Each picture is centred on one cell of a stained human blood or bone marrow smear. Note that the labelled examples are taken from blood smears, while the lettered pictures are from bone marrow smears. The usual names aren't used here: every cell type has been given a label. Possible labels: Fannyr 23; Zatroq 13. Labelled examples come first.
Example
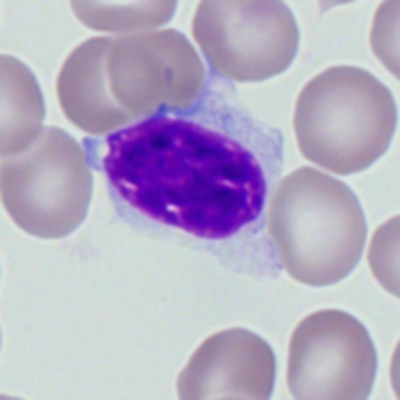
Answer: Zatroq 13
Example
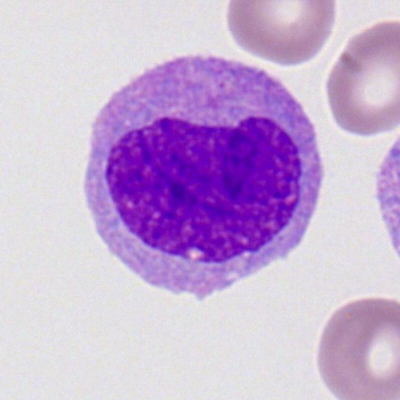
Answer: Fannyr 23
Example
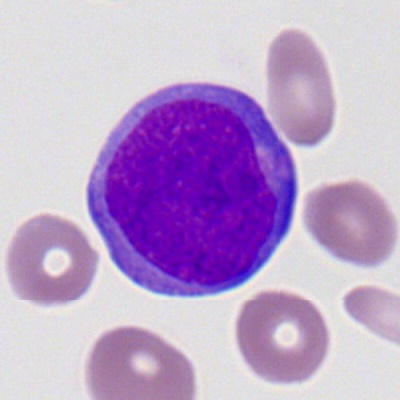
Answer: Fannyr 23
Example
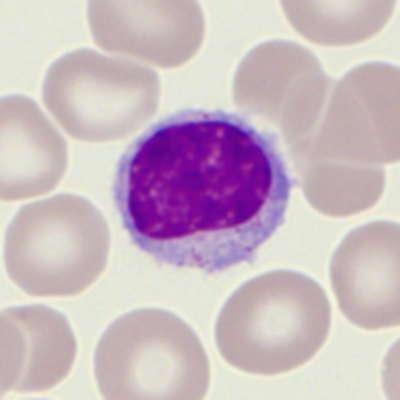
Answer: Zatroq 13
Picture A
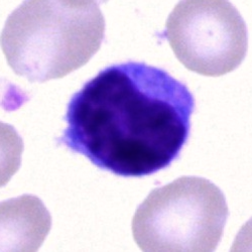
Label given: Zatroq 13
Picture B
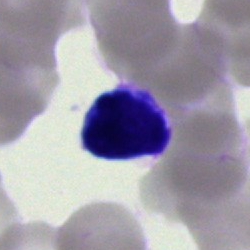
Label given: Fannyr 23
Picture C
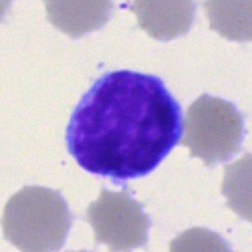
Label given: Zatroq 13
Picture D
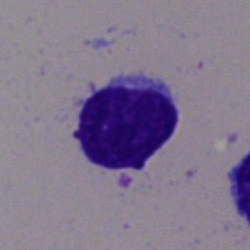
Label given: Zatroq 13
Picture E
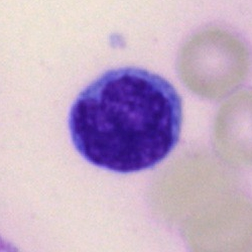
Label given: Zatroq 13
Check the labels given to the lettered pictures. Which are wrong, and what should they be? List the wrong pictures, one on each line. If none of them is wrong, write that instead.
B: not Fannyr 23 but Zatroq 13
